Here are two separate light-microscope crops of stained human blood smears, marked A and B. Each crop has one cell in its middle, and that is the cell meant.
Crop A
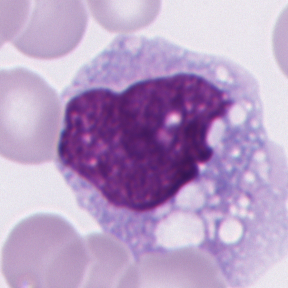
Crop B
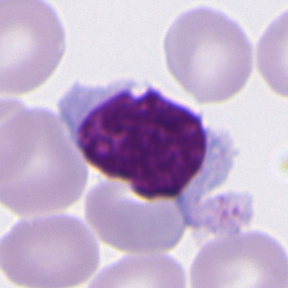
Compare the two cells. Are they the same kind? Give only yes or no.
no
